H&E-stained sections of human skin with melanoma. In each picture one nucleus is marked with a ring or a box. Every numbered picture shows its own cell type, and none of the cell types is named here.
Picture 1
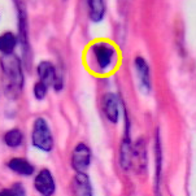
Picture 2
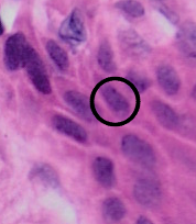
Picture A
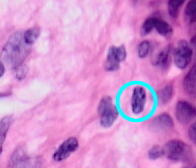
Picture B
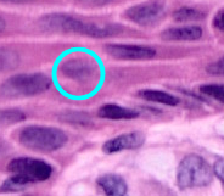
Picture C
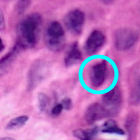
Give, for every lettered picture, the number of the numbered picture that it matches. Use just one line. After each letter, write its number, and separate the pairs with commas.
A 1, B 2, C 2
